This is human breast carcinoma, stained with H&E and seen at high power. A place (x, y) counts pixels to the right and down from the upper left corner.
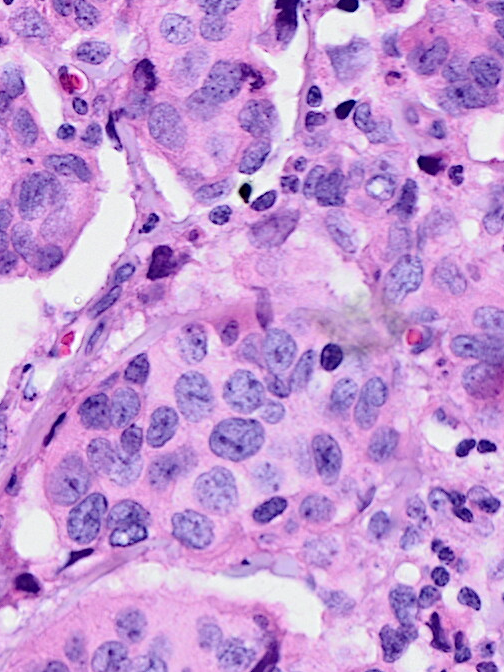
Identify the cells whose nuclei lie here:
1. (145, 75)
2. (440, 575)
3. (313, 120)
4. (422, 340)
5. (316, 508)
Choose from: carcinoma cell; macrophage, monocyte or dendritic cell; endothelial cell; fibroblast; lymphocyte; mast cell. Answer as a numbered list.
1. carcinoma cell
2. lymphocyte
3. lymphocyte
4. endothelial cell
5. carcinoma cell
